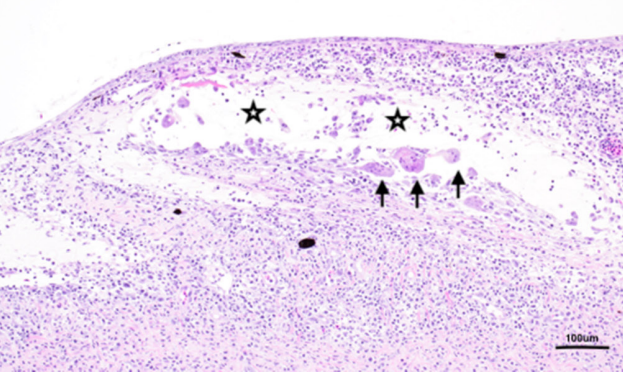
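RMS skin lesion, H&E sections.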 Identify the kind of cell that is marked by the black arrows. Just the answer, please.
Giant multinucleated cells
